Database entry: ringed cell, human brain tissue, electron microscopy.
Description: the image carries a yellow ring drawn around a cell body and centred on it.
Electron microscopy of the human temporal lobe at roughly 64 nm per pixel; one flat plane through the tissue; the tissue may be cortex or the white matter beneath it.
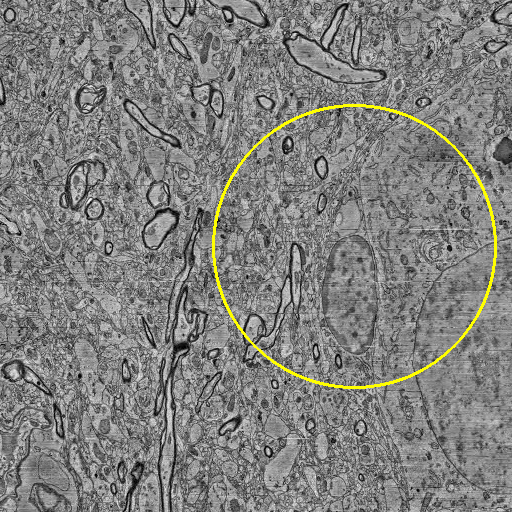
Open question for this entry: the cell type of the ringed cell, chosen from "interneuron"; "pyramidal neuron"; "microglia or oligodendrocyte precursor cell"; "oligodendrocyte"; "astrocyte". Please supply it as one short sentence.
The ringed cell is a microglial cell or oligodendrocyte precursor cell.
